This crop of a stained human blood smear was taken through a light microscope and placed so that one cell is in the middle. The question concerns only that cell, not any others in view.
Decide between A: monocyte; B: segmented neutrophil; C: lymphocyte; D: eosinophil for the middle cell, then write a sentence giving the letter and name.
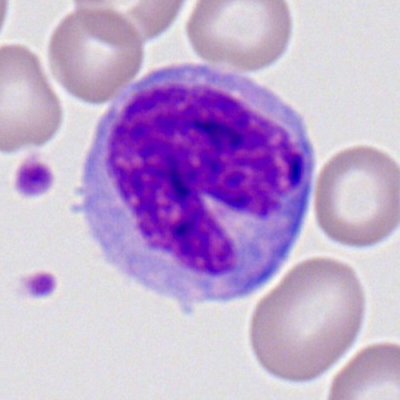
That middle cell is a monocyte, and option A is therefore correct.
